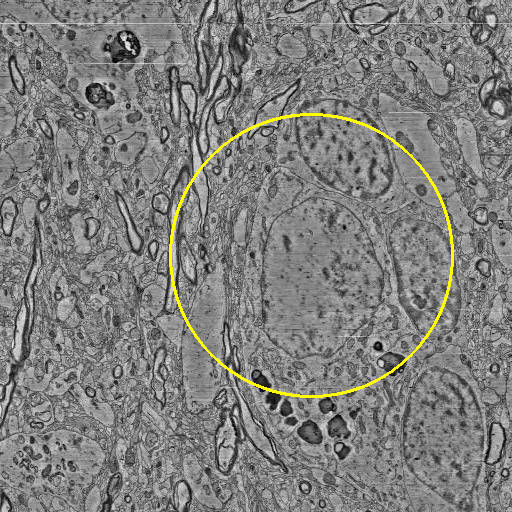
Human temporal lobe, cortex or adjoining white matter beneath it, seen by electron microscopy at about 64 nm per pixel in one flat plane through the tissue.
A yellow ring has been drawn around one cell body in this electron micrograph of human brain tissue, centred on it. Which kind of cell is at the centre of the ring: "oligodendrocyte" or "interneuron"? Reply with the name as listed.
interneuron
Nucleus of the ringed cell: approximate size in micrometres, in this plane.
Roughly 11 micrometres by 8 micrometres, in this plane.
